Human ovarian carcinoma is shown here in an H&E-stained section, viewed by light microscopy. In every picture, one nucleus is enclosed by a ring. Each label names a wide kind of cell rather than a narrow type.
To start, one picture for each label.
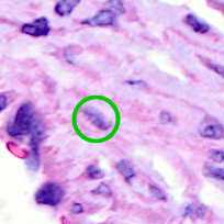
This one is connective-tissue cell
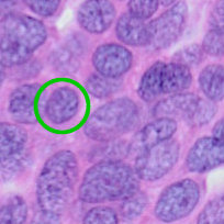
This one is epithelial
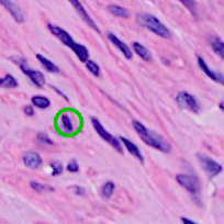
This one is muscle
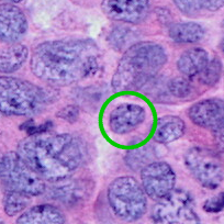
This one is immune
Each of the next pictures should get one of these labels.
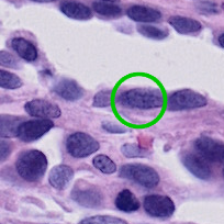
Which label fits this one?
epithelial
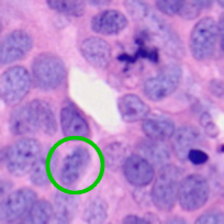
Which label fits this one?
epithelial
